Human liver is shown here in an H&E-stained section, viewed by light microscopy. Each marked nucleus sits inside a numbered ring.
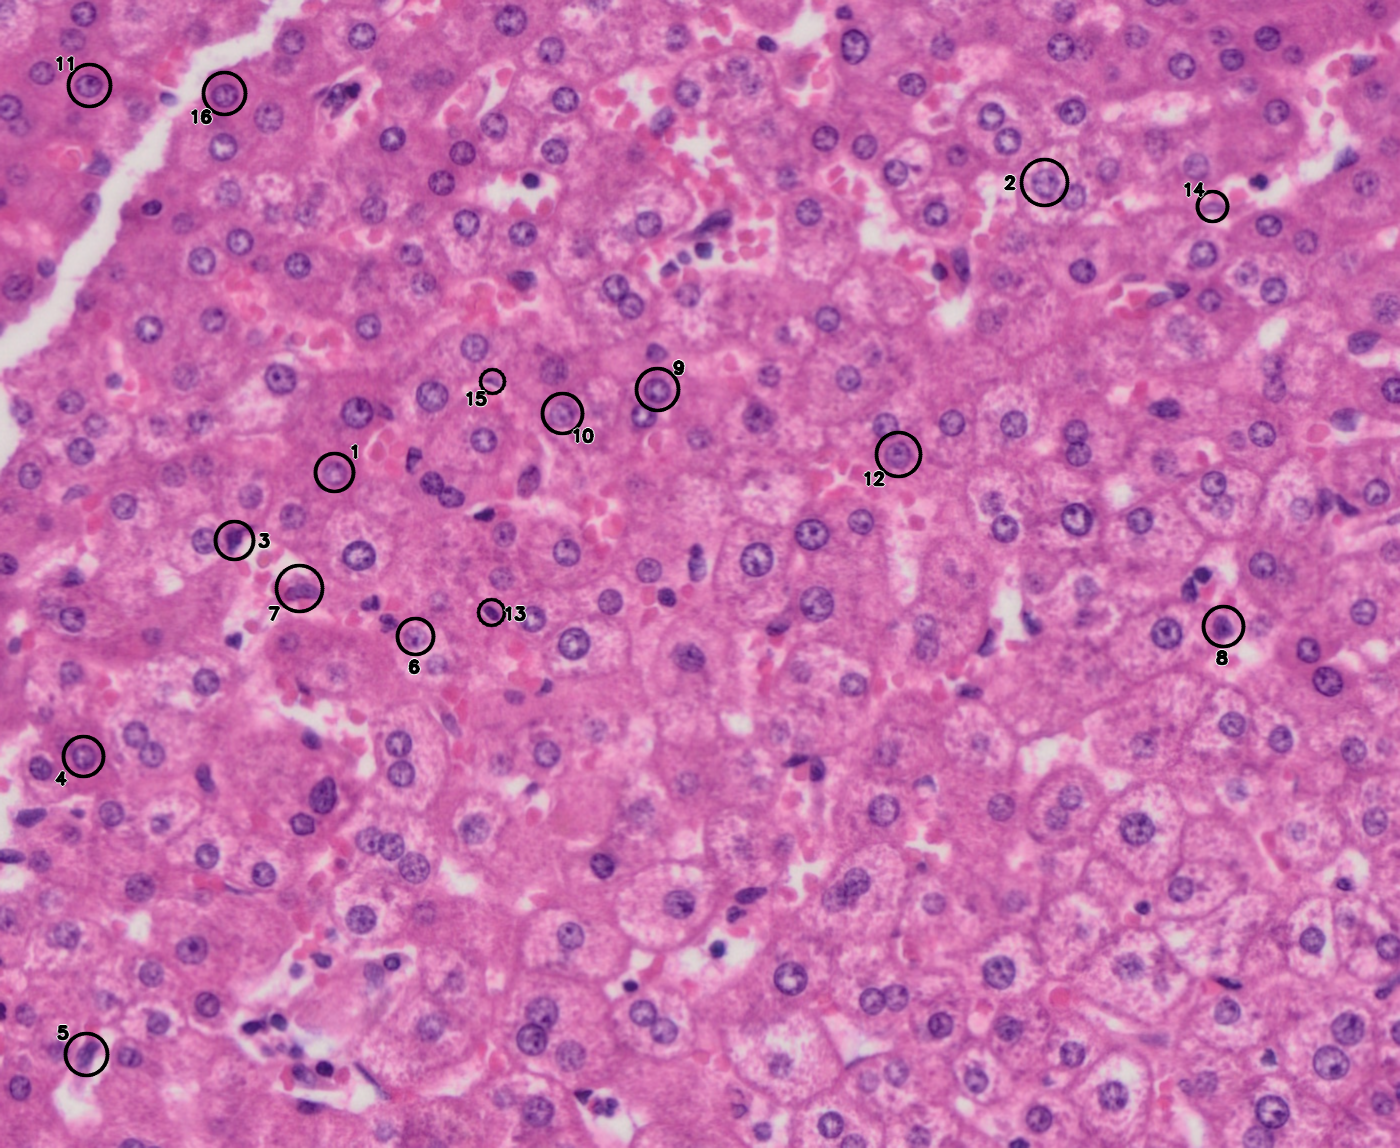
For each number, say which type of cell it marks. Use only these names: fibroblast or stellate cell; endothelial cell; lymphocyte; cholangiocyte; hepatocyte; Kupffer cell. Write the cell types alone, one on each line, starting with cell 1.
hepatocyte
hepatocyte
fibroblast or stellate cell
hepatocyte
Kupffer cell
hepatocyte
Kupffer cell
fibroblast or stellate cell
hepatocyte
hepatocyte
hepatocyte
hepatocyte
fibroblast or stellate cell
Kupffer cell
endothelial cell
hepatocyte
